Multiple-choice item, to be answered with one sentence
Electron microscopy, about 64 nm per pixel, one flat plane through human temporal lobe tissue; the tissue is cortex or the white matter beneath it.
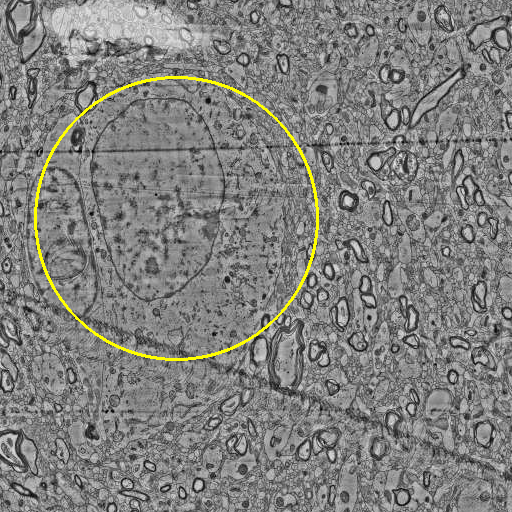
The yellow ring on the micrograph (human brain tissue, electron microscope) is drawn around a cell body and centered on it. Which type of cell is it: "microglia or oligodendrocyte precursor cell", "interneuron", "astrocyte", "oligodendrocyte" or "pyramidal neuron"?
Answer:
The ring is centered on a pyramidal neuron.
